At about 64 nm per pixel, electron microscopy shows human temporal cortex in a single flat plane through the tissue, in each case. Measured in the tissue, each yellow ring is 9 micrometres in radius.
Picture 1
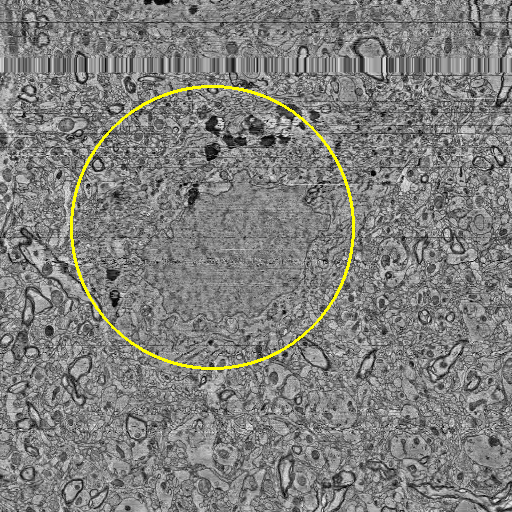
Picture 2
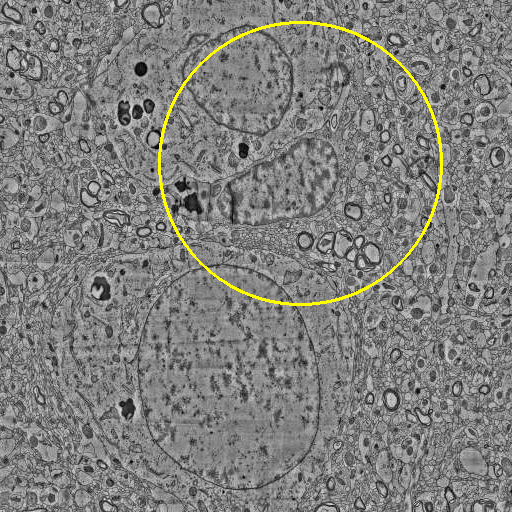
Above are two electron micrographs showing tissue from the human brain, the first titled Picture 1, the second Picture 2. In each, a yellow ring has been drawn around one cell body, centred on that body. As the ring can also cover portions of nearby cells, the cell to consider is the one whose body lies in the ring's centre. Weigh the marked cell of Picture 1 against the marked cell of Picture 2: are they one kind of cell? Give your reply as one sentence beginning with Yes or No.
No, the two cells sitting at the ring centres in the pictures are of two kinds.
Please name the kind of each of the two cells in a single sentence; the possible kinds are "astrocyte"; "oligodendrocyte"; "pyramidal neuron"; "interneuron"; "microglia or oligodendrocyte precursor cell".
In the first picture the ring is centred on a pyramidal neuron, and in the second on an oligodendrocyte.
